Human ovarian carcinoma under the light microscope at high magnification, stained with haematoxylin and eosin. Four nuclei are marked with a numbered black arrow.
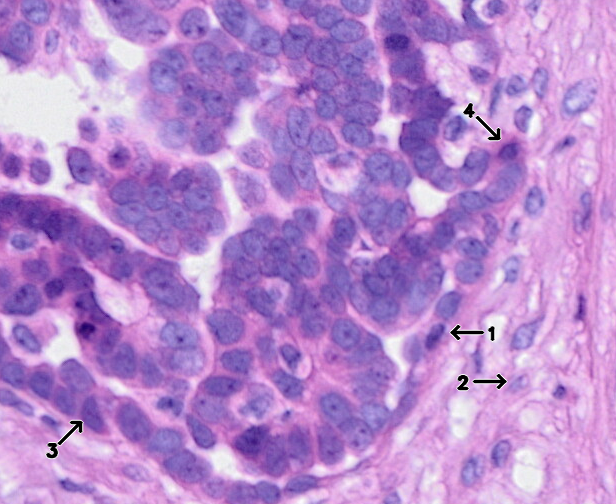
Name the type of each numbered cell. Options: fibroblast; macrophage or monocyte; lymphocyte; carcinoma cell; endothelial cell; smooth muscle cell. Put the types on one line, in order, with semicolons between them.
macrophage or monocyte; fibroblast; carcinoma cell; carcinoma cell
